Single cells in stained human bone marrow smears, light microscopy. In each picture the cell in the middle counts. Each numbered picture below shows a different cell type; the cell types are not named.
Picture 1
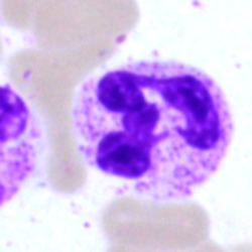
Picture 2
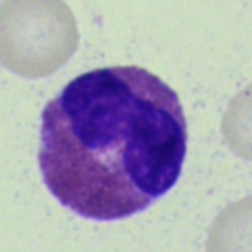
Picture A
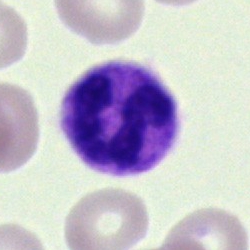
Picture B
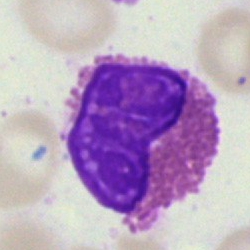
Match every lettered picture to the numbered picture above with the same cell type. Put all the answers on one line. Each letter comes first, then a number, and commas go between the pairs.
A 1, B 2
